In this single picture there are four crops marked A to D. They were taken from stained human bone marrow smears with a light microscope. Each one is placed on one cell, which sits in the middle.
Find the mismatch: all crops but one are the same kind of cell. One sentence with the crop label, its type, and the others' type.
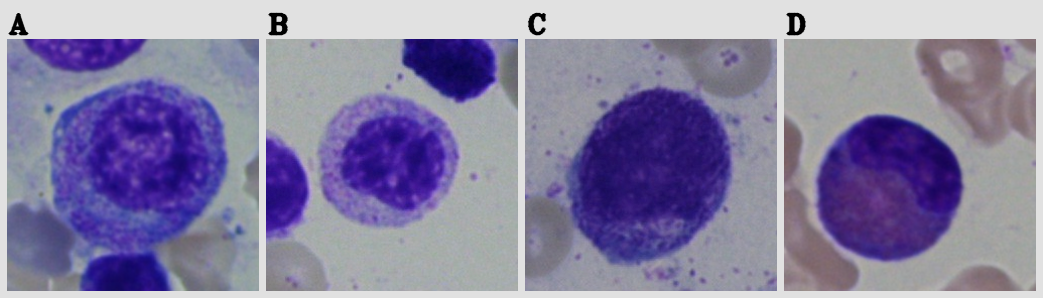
Crop D is not like the others: it is an eosinophil, and they are myelocytes.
